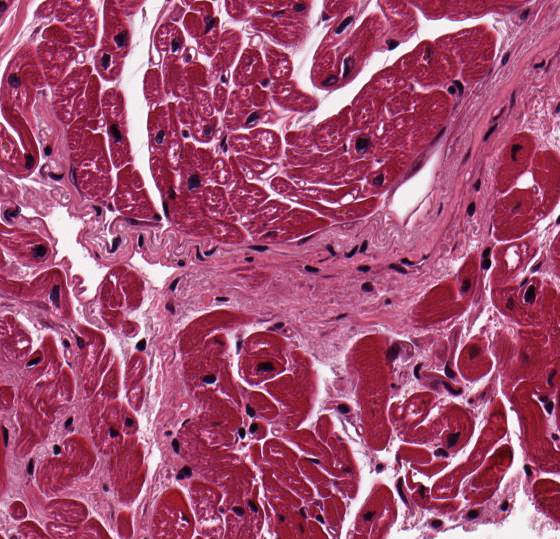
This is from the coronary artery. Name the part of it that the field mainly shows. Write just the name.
cardiac muscle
